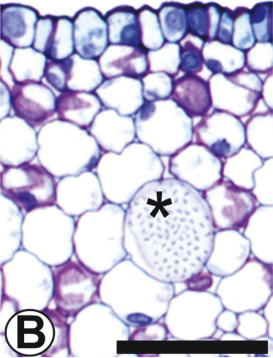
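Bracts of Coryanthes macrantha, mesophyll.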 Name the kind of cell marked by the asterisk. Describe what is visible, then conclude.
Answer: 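Cristaliferous idioblasts. The marked cell is larger than its neighbours and oval. It is filled with many small dark dot-like inclusions. It lies among thin-walled rounded mesophyll cells.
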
